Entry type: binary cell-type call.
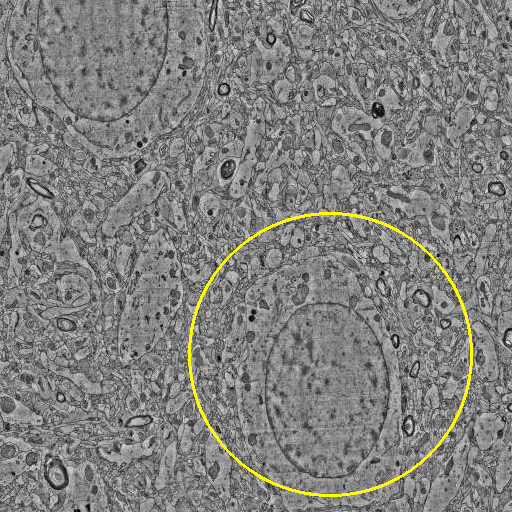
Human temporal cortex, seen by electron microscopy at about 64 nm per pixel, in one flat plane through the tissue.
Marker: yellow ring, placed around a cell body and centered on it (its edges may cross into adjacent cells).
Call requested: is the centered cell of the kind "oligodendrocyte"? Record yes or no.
no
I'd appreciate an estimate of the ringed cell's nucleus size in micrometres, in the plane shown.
Approximately 11 micrometres long and 8 micrometres wide, in this plane.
